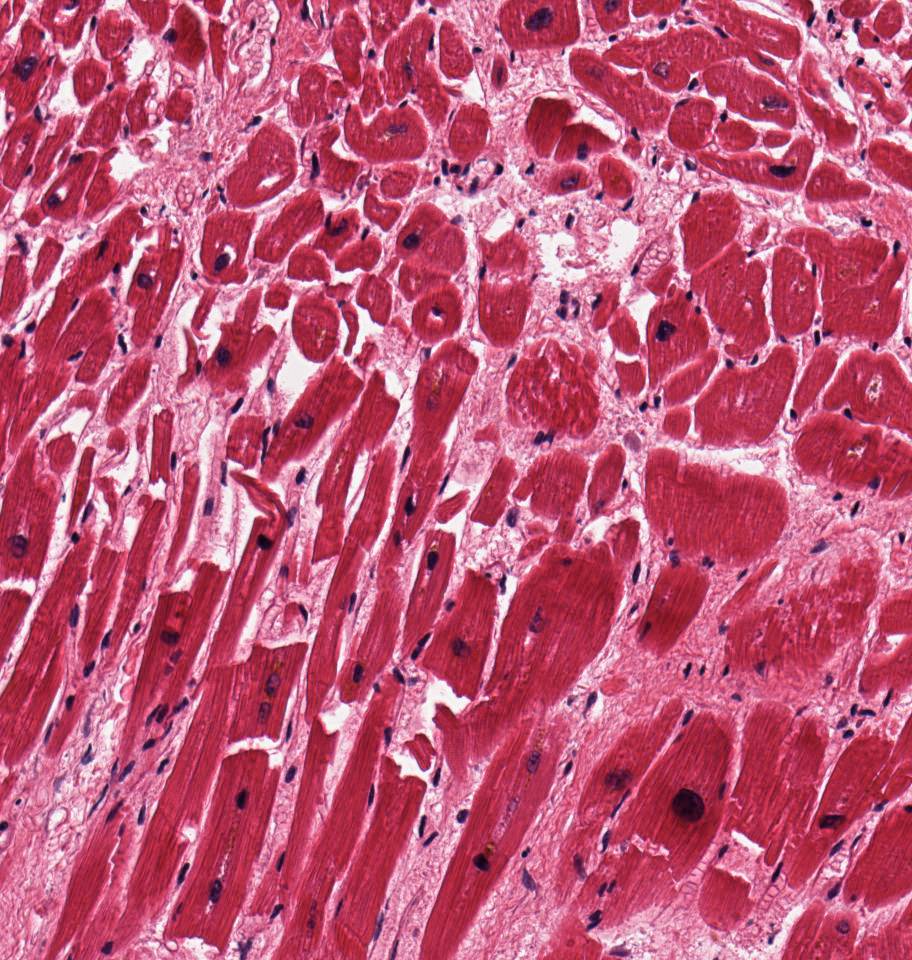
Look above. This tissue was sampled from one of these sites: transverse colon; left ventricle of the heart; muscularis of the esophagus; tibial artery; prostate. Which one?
left ventricle of the heart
